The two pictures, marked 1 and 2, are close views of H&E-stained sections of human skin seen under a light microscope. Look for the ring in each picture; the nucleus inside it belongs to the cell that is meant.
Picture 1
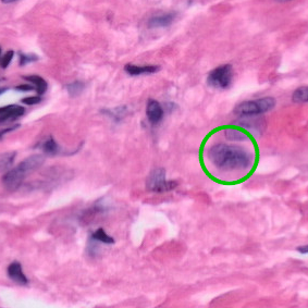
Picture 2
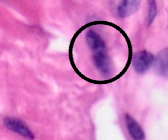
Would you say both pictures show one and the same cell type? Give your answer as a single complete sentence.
Yes; the cells in both pictures are endothelial cells.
